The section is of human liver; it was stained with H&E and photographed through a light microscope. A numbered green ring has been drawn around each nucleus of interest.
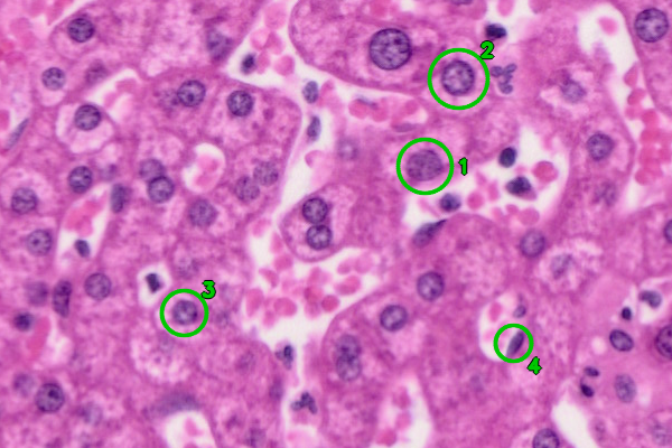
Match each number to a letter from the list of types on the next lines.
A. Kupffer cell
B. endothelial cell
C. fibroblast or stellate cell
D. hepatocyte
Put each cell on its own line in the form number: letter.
1: D
2: D
3: D
4: B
